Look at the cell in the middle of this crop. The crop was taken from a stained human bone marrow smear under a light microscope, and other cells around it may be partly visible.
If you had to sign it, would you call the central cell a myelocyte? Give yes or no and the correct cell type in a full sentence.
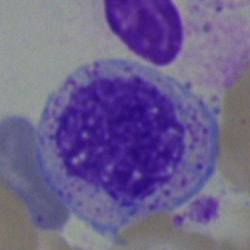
Yes, the middle of the crop is occupied by a myelocyte.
